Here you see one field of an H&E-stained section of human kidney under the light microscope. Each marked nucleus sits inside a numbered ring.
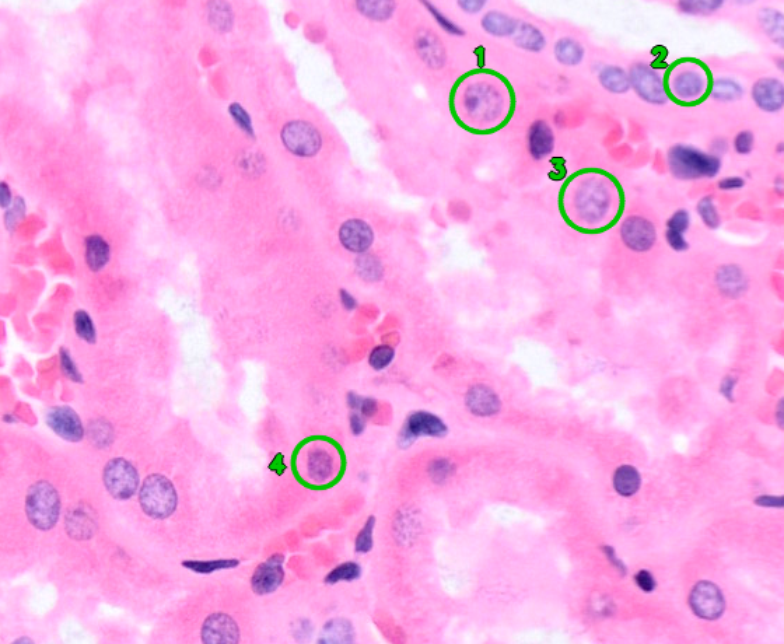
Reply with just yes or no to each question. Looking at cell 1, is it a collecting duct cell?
no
